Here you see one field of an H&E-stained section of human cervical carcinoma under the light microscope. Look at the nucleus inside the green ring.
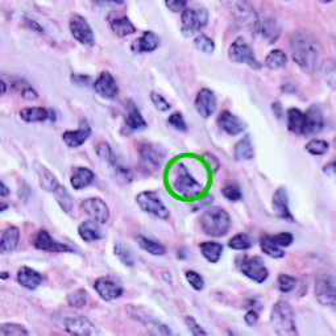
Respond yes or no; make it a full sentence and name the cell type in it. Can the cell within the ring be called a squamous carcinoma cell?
No, the cell within the ring is termed a lymphocyte, not a squamous carcinoma cell.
